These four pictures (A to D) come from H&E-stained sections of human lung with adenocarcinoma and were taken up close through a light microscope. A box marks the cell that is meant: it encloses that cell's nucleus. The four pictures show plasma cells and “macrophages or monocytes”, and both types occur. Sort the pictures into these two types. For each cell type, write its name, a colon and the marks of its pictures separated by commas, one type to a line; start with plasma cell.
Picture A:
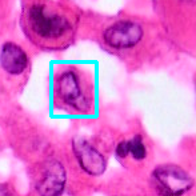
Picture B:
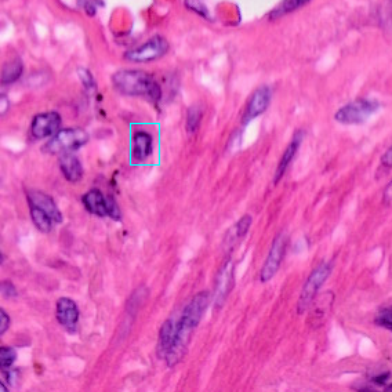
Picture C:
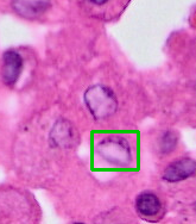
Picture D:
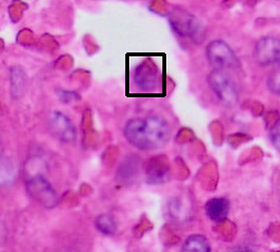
plasma cell: B
macrophage or monocyte: A, C, D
